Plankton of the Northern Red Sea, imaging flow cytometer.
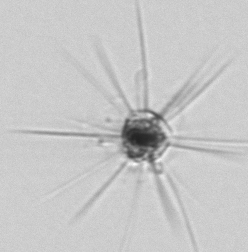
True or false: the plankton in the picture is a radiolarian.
True.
